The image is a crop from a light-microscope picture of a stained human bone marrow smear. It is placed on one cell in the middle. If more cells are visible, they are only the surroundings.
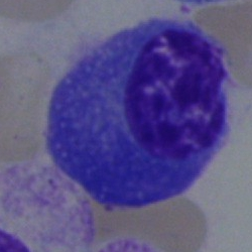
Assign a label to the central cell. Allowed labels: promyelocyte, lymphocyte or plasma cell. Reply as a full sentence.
The center cell of this crop is a plasma cell.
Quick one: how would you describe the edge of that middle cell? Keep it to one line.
Edge check done: smooth outline, no projections present.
